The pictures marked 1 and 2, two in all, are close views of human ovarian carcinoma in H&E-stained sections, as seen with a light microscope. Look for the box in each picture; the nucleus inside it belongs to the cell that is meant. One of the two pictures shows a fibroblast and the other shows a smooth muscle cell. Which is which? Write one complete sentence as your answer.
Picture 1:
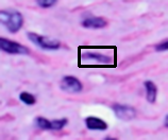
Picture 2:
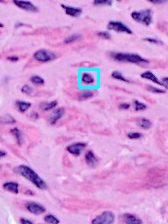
Picture 1 is of a fibroblast, and picture 2 is of a smooth muscle cell.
